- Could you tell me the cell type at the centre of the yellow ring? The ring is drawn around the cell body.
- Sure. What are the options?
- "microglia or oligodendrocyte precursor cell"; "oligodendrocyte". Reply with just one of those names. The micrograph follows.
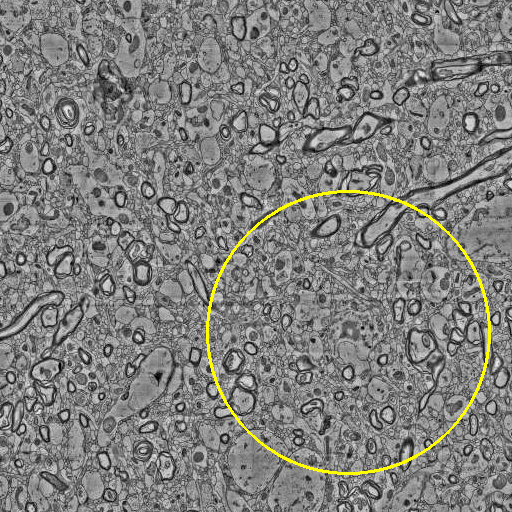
microglia or oligodendrocyte precursor cell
